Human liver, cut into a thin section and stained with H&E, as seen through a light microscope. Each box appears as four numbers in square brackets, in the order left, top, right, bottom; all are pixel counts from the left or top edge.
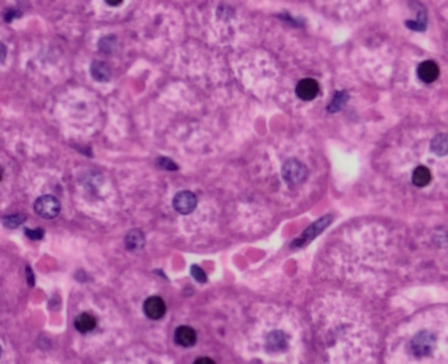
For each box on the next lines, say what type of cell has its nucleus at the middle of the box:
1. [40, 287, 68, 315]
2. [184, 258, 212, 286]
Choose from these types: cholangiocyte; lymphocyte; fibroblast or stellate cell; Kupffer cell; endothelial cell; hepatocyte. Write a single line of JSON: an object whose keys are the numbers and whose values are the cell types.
{"1": "Kupffer cell", "2": "lymphocyte"}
